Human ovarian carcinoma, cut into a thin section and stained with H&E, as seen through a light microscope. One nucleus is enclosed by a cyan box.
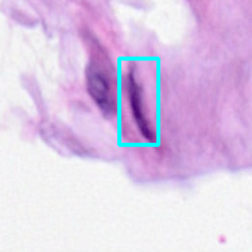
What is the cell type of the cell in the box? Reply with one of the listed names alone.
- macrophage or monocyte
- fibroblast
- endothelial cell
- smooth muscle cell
endothelial cell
